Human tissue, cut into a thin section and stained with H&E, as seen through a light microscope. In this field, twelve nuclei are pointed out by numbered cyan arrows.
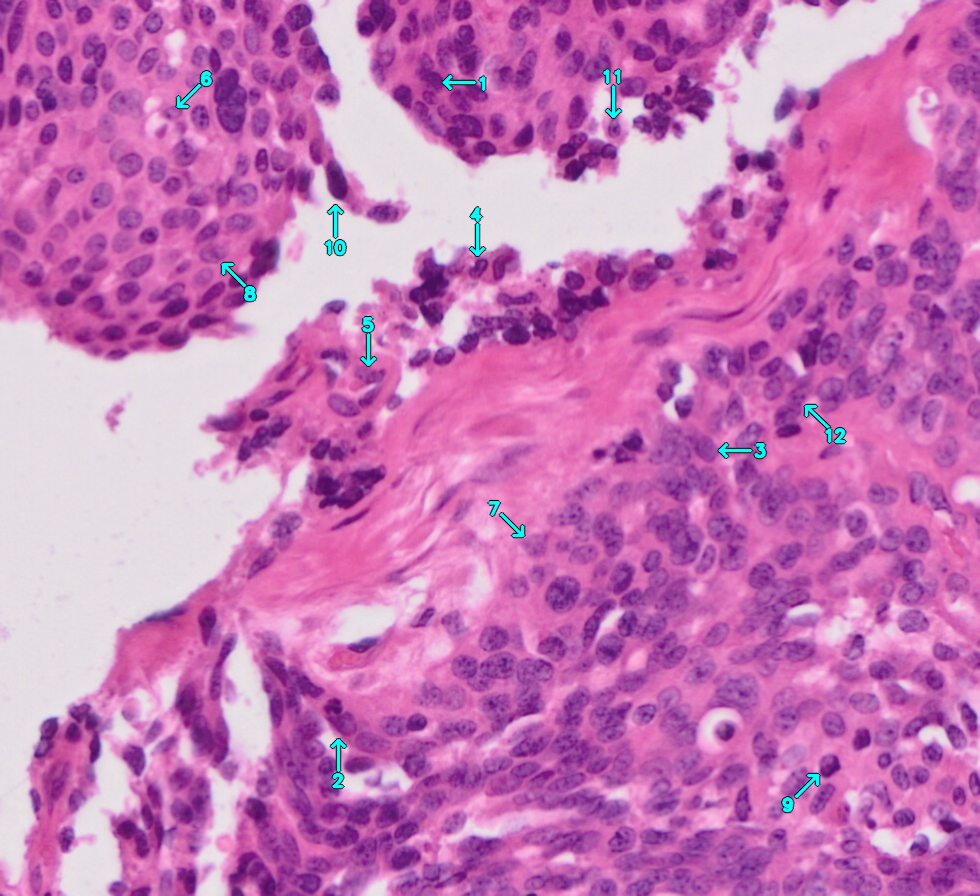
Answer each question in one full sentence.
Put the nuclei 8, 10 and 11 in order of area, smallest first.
By area, going up from the smallest, they rank 11, 8, 10.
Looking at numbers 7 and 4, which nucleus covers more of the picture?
Nucleus 7 is the larger one, covering about 2 times the area of nucleus 4.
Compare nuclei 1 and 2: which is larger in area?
At about 1.5 times the area of nucleus 1, nucleus 2 is the larger of the two.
